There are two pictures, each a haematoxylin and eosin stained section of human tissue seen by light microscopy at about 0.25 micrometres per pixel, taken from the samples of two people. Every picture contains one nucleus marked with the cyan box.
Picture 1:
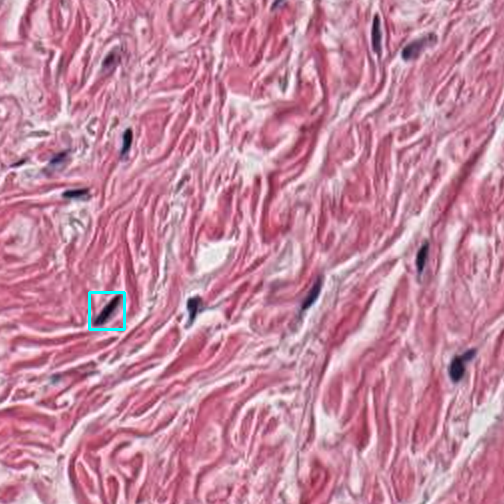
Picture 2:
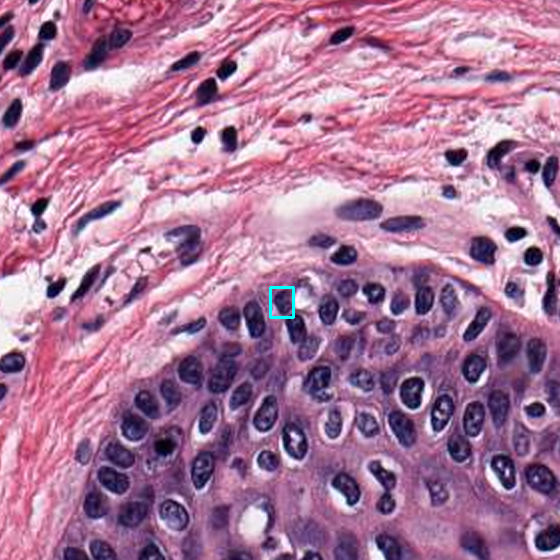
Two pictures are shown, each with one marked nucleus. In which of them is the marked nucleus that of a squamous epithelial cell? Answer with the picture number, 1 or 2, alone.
2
